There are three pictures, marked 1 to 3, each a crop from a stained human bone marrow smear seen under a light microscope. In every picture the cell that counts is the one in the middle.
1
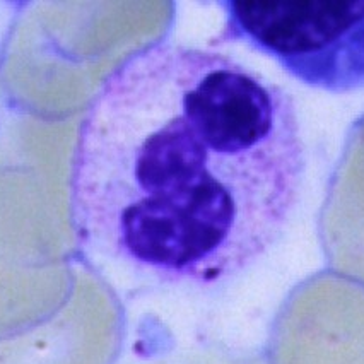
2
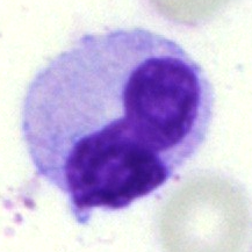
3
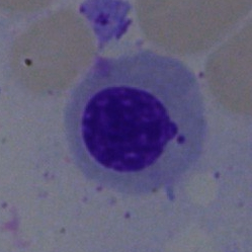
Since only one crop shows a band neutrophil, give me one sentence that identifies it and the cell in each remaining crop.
On the one hand crop 2 shows a band neutrophil; on the other, crop 1 is a segmented neutrophil and crop 3 is an erythroblast.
